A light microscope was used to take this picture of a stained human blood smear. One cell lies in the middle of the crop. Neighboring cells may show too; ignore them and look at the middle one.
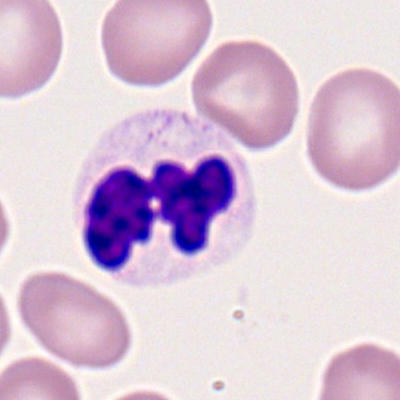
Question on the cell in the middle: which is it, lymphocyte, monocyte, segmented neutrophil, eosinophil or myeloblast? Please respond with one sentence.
The middle of this crop holds a segmented neutrophil.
